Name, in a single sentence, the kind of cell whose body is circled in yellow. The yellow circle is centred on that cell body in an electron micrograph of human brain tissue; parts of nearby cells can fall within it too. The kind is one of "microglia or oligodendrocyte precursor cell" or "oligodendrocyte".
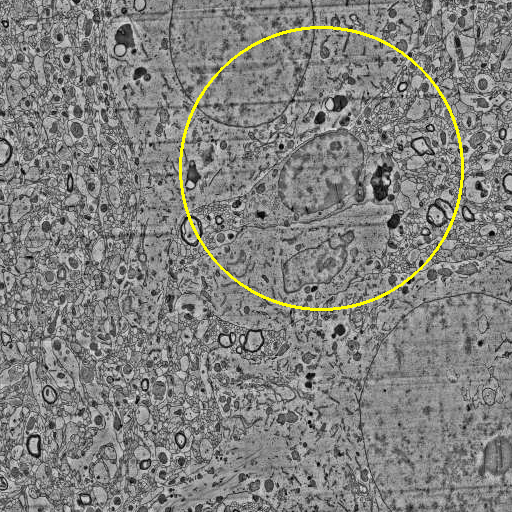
The circled cell body belongs to an oligodendrocyte.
